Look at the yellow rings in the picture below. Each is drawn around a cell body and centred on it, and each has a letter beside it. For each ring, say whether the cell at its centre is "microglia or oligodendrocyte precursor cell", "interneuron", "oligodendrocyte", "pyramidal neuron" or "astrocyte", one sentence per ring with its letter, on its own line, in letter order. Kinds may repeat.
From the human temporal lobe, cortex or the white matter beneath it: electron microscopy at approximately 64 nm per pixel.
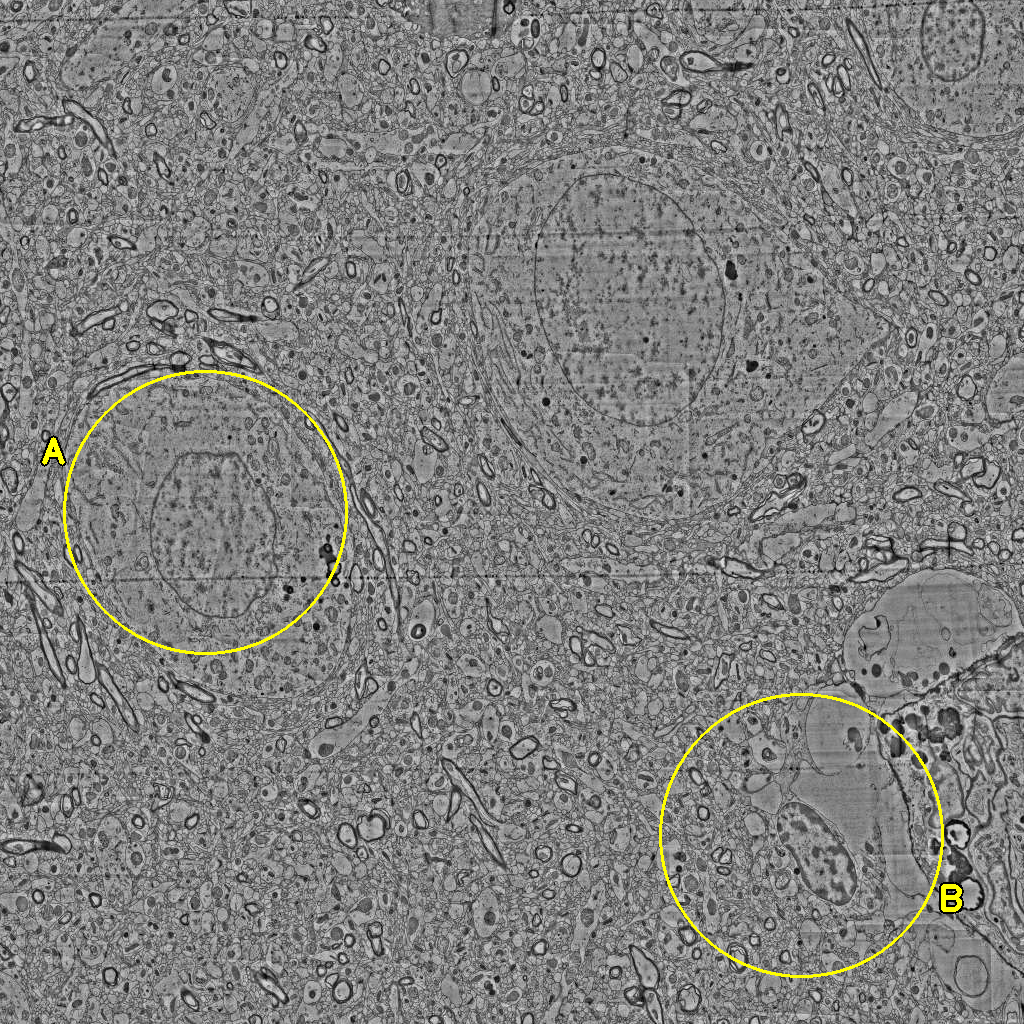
The centred cell of ring A is a pyramidal neuron.
The centred cell of ring B is a microglial cell or oligodendrocyte precursor cell.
